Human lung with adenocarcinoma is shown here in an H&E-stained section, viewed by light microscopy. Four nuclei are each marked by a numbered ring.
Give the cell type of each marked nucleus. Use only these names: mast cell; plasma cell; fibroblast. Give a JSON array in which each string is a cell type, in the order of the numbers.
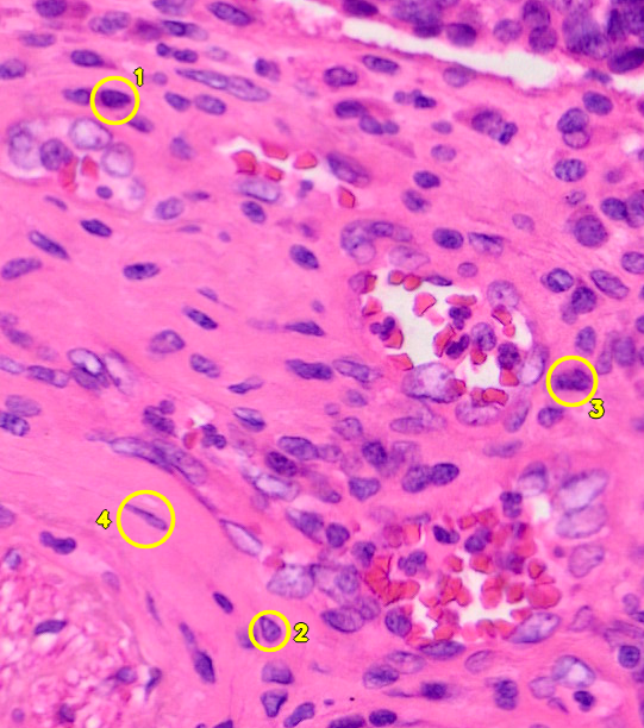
["plasma cell", "mast cell", "plasma cell", "fibroblast"]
